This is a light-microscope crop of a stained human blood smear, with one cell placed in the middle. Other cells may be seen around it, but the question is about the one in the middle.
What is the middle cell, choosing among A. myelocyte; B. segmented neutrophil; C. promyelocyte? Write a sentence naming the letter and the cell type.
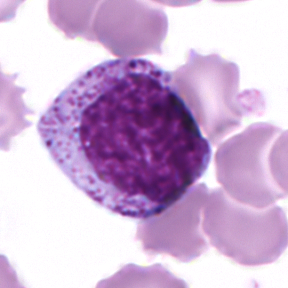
The central cell in this crop is a myelocyte, so the correct choice is option A.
